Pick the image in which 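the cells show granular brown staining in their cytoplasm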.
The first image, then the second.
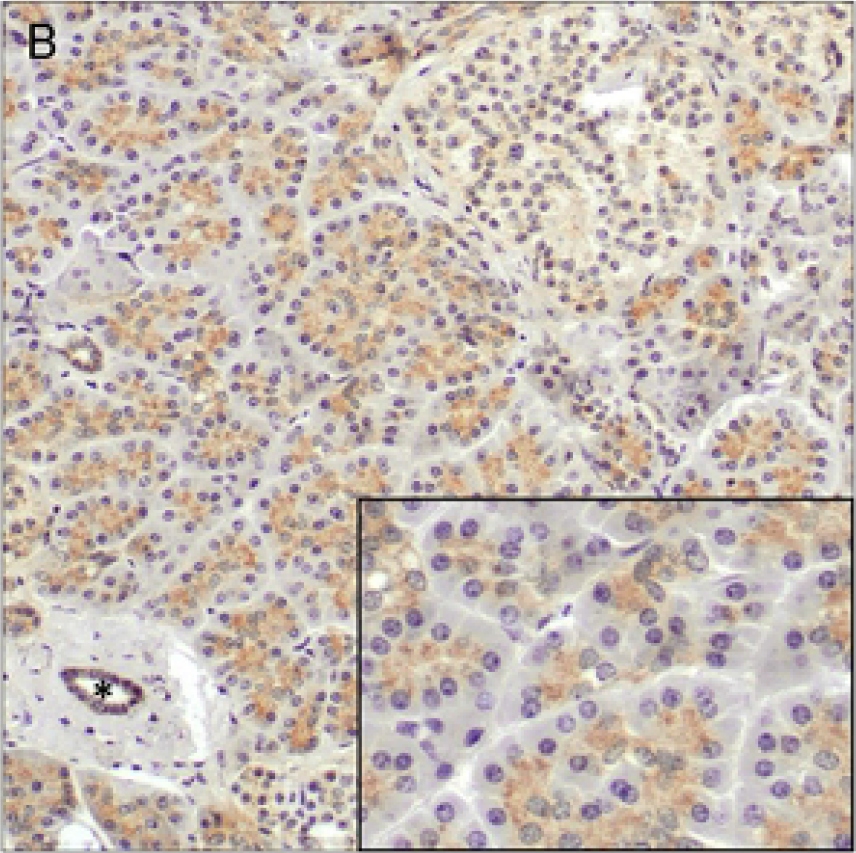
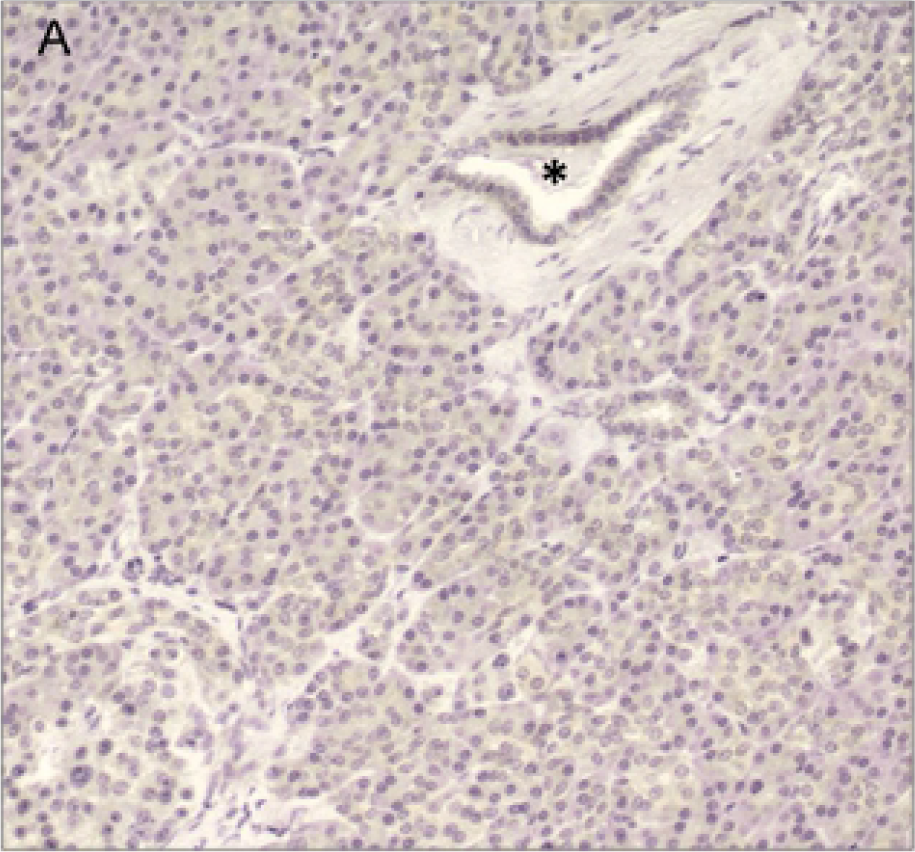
The first image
